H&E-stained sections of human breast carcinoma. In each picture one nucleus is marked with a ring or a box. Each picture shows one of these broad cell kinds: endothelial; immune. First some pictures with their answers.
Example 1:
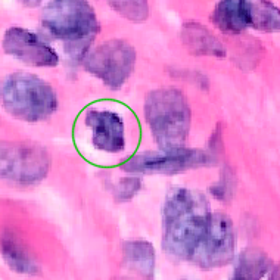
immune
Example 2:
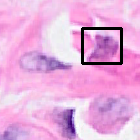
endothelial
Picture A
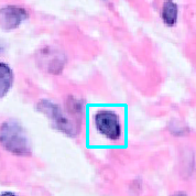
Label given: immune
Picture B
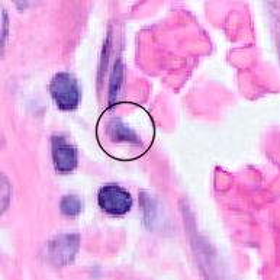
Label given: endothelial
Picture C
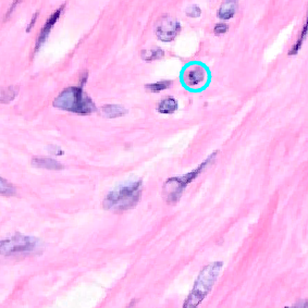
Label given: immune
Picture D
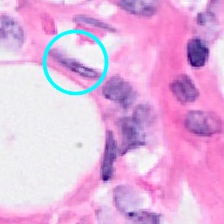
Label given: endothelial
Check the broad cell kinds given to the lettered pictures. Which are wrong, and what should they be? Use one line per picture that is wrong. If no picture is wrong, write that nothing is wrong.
C: not immune but endothelial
